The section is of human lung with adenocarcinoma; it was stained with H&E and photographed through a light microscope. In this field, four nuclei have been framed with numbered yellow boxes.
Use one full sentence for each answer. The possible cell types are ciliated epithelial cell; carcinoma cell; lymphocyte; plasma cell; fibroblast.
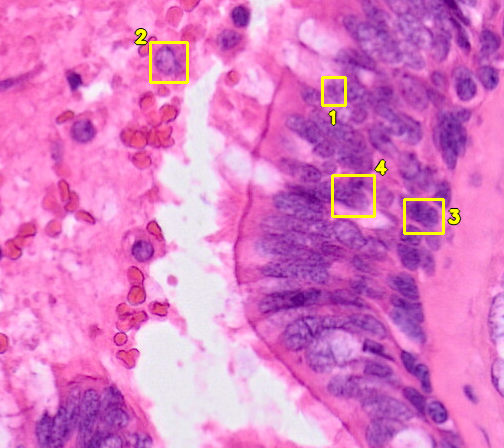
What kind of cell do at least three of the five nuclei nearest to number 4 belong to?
The majority of the five nuclei closest to number 4 belong to ciliated epithelial cells.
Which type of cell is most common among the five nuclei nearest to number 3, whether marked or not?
Most of the five nuclei nearest to number 3 are those of ciliated epithelial cells.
